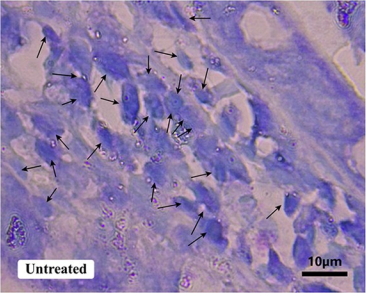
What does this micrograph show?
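The marked cells are small, oval to spindle-shaped and stained an intense violet-blue, standing out against a paler lilac background. They are densely packed and scattered through the tissue, often lying between pale, unstained rounded spaces. Their outlines are fairly compact, and the dark stain fills the cytoplasm.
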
